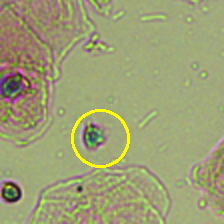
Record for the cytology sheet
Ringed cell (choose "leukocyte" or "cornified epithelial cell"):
leukocyte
